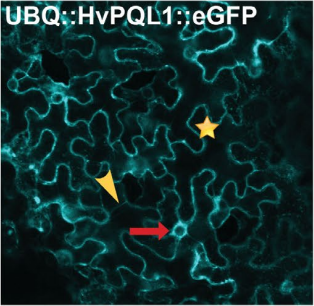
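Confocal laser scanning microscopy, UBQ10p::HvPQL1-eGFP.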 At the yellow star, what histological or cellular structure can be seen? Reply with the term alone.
Separation between the two neighboring cells.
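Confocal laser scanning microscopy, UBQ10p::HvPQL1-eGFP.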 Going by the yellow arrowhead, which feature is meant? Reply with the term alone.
transvacuolar strands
